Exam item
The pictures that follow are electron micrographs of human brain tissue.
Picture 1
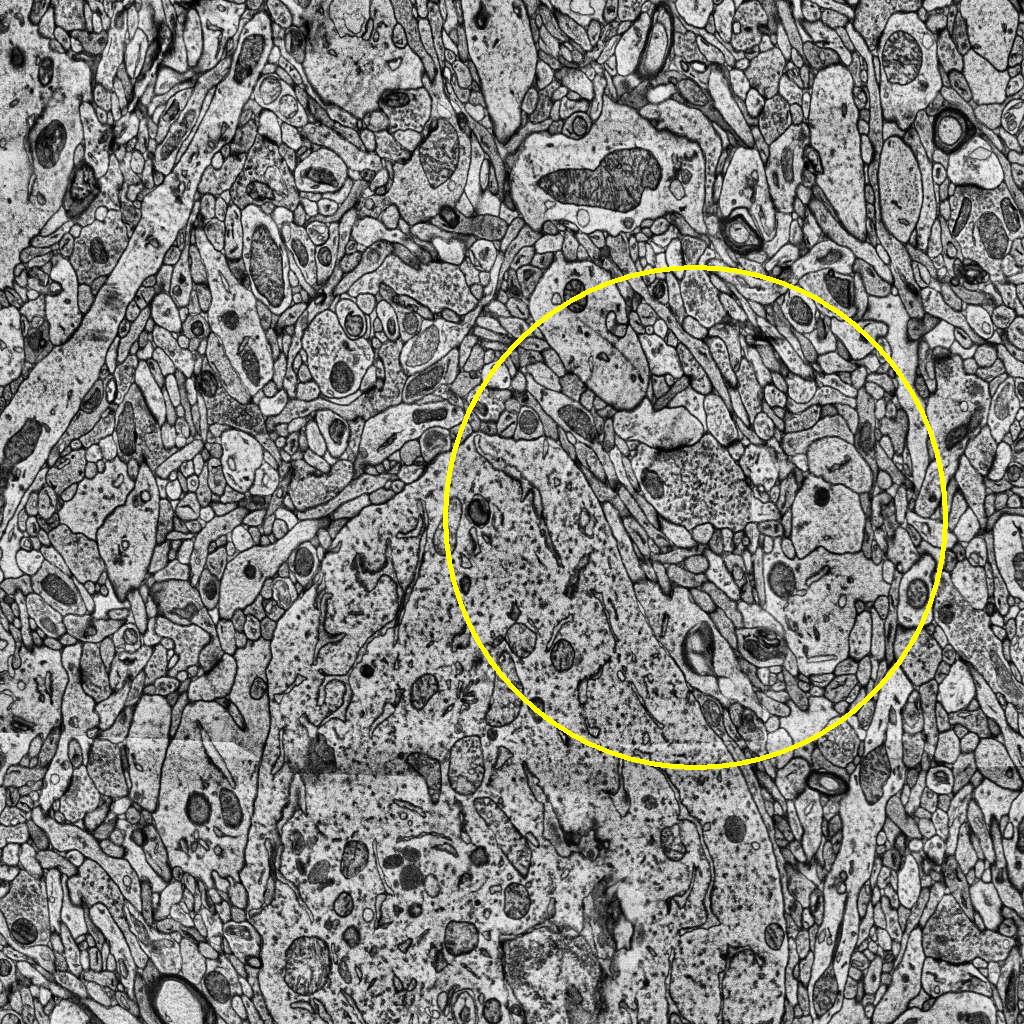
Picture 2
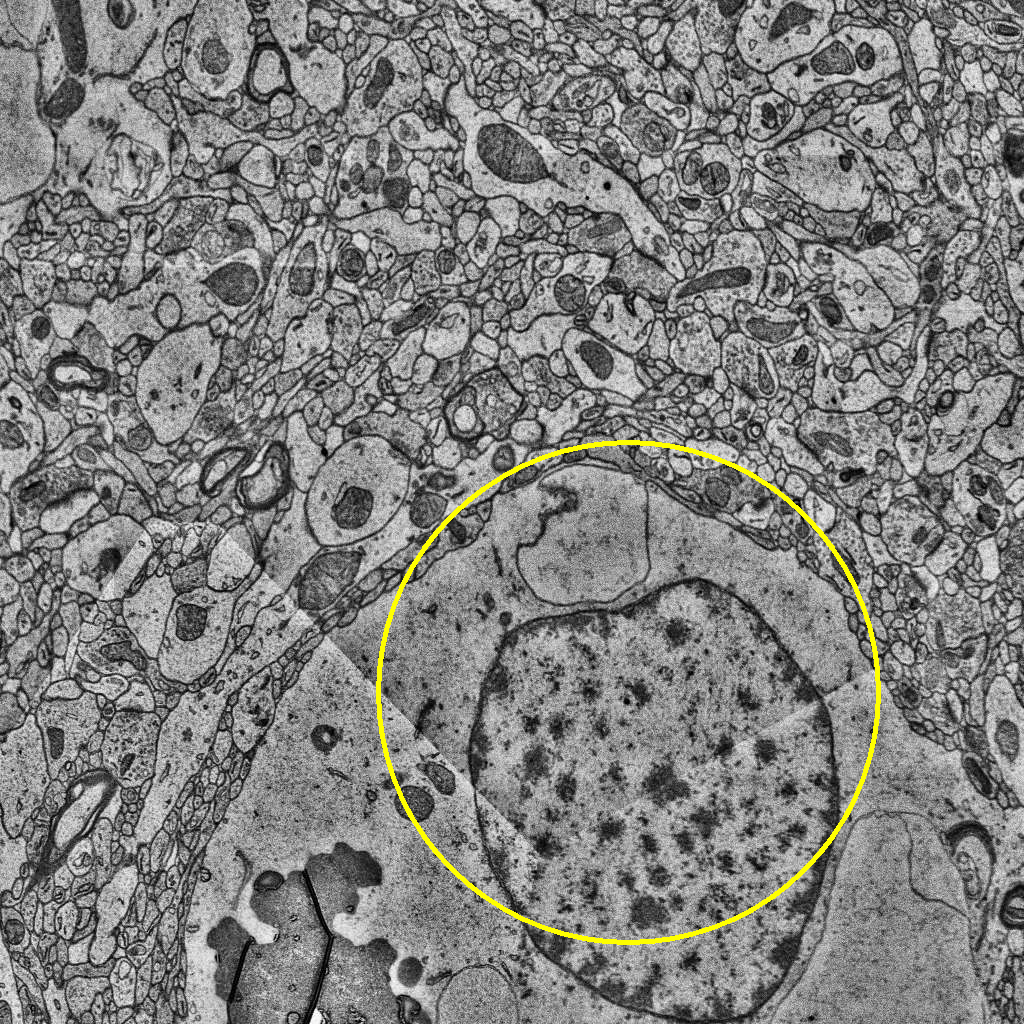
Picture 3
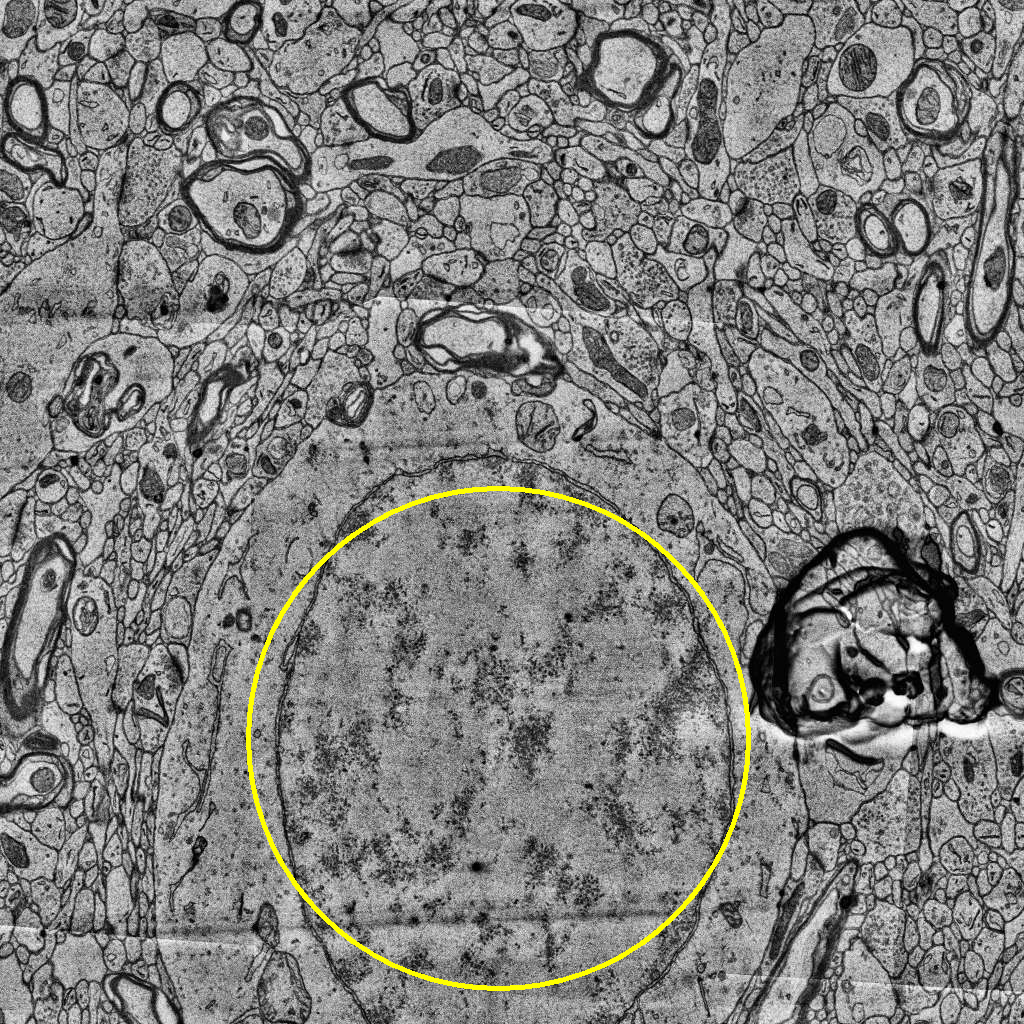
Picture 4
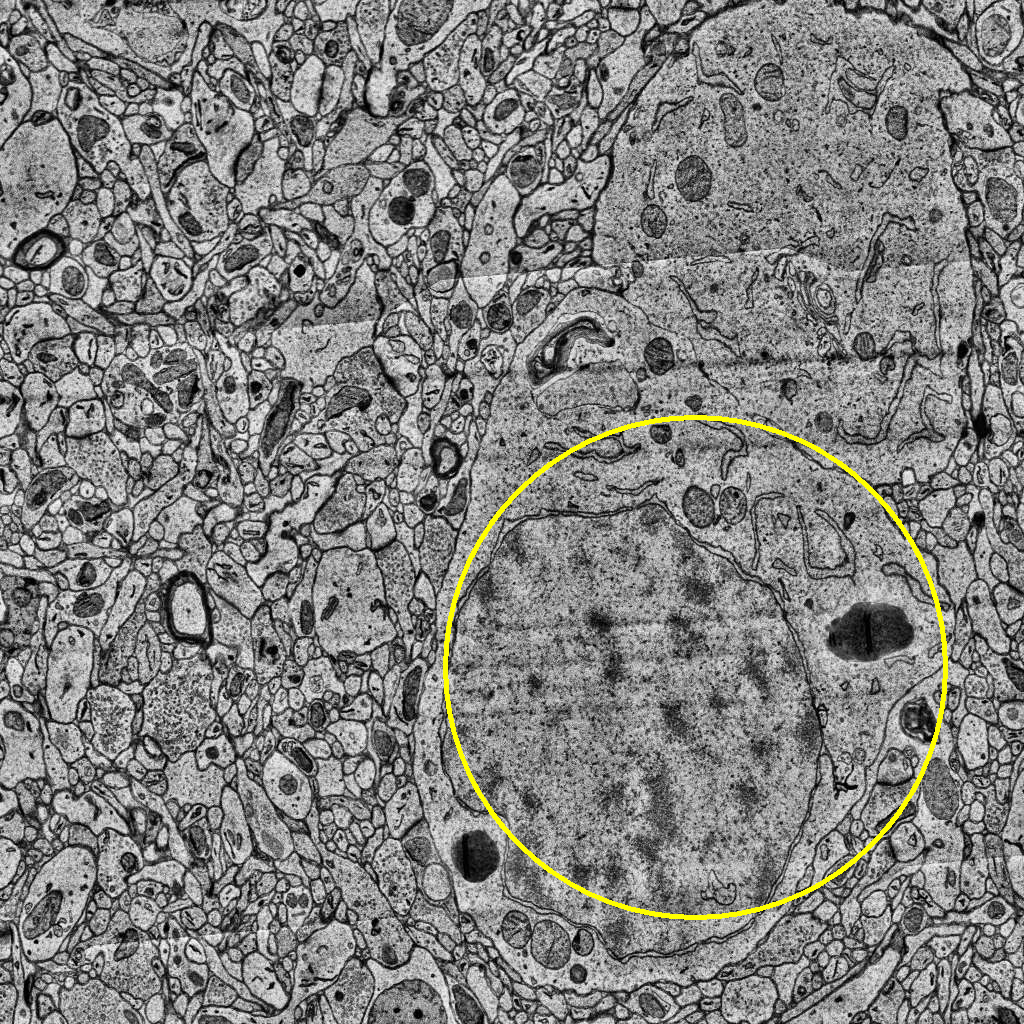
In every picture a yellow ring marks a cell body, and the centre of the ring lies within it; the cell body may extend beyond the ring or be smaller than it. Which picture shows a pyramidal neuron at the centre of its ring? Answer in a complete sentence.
The cell at the centre of the ring in Picture 3 is the one asked for.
